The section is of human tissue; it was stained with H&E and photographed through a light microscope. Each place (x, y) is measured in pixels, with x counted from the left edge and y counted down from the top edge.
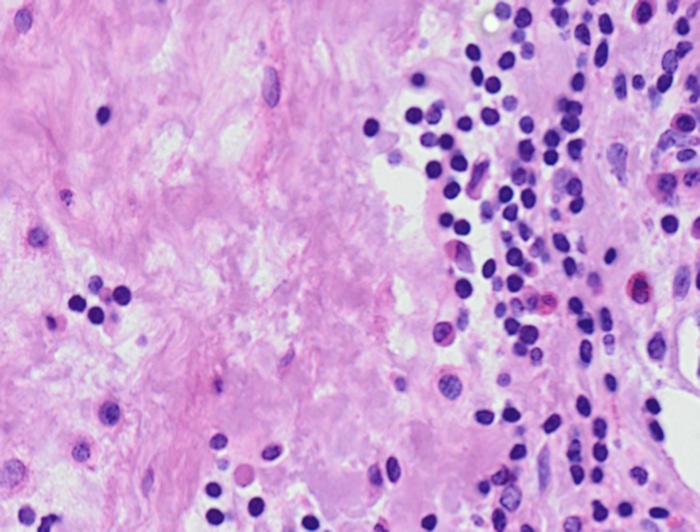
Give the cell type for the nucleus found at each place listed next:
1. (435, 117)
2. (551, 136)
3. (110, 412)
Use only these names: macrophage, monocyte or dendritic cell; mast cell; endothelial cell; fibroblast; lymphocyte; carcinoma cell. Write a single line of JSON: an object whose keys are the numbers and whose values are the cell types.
{"1": "lymphocyte", "2": "lymphocyte", "3": "mast cell"}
